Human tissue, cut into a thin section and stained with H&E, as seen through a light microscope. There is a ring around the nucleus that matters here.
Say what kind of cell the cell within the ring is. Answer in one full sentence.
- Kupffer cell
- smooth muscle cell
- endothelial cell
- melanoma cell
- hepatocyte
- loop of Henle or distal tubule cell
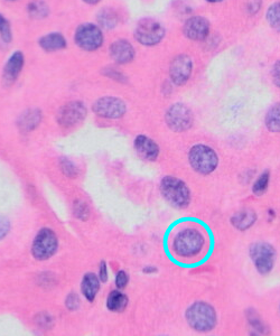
In this section of tissue, the cell within the ring is a loop of Henle or distal tubule cell.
